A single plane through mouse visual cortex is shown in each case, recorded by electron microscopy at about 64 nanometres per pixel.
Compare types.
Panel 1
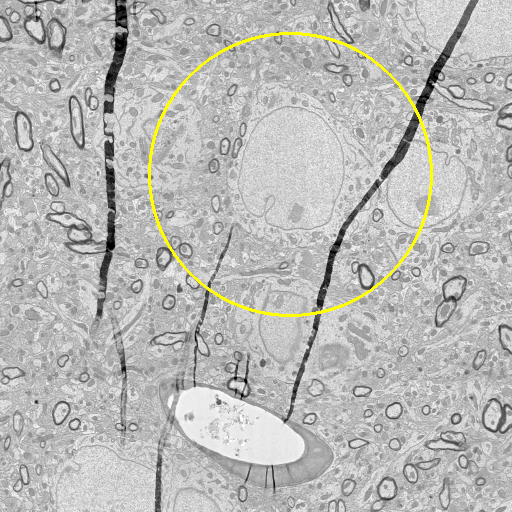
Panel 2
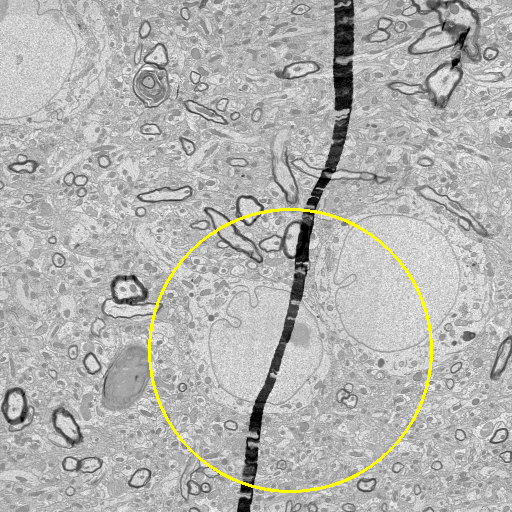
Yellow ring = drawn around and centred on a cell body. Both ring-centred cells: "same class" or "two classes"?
same class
